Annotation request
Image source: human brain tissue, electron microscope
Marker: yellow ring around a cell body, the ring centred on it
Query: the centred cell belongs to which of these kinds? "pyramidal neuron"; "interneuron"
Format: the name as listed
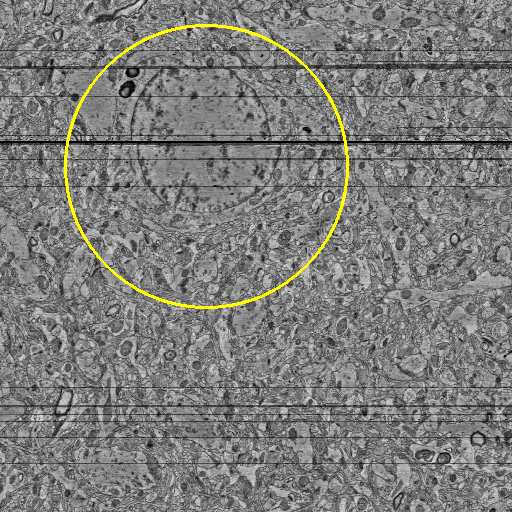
pyramidal neuron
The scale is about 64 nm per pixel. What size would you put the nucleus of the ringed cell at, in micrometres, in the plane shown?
The nucleus measures about 10 micrometers across in this plane.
